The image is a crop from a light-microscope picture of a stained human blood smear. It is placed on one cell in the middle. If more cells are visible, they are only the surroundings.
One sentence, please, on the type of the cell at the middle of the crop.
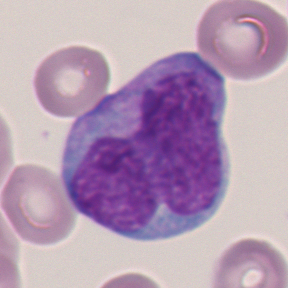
The cell at the heart of this crop is an atypical promyelocyte.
